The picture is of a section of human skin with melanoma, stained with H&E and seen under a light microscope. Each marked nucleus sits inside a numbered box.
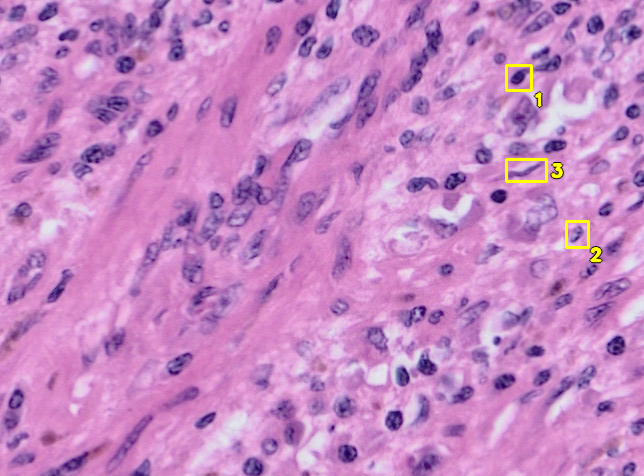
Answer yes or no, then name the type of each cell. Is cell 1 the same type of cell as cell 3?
No, cell 1 is a lymphocyte and cell 3 is a fibroblast or myofibroblast.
